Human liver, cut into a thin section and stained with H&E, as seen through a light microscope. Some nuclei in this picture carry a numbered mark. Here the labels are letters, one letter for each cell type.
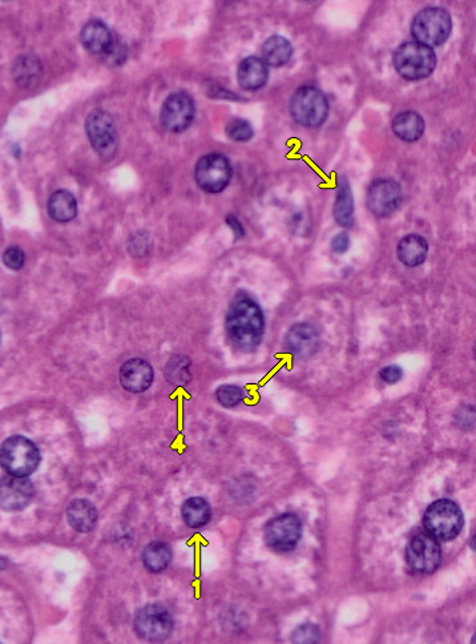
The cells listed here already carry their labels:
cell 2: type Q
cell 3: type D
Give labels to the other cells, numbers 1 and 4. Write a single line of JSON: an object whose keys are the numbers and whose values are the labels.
{"1": "type D", "4": "type D"}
